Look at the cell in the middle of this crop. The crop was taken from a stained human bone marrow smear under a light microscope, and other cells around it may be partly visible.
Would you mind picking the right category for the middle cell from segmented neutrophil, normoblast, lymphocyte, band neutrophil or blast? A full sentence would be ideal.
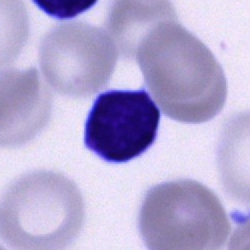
The cell marked by its central position in the crop is a lymphocyte.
